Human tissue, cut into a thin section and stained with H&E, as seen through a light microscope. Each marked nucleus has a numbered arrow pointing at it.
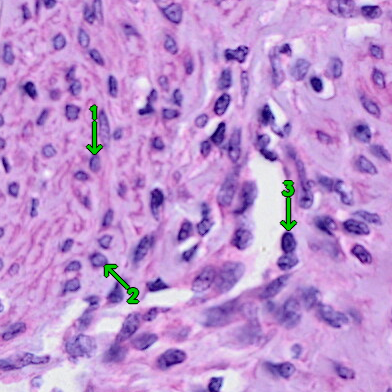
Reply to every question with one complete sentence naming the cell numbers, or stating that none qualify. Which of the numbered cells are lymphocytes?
Among the numbered cells, the one that is a lymphocyte is cell 3 alone.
